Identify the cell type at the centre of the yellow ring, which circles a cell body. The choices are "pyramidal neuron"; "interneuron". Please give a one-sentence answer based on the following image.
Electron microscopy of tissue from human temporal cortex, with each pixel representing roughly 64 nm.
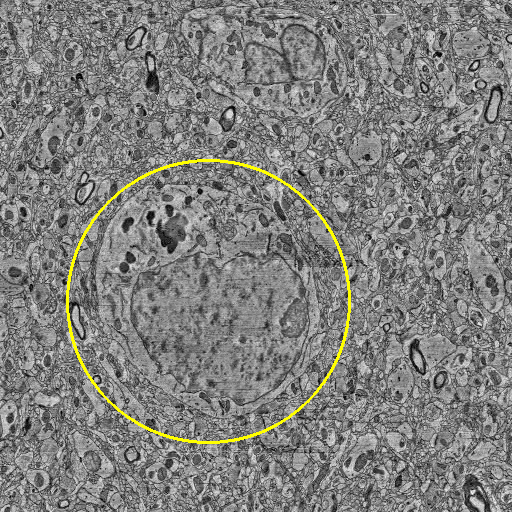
The cell marked by the ring is an interneuron.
